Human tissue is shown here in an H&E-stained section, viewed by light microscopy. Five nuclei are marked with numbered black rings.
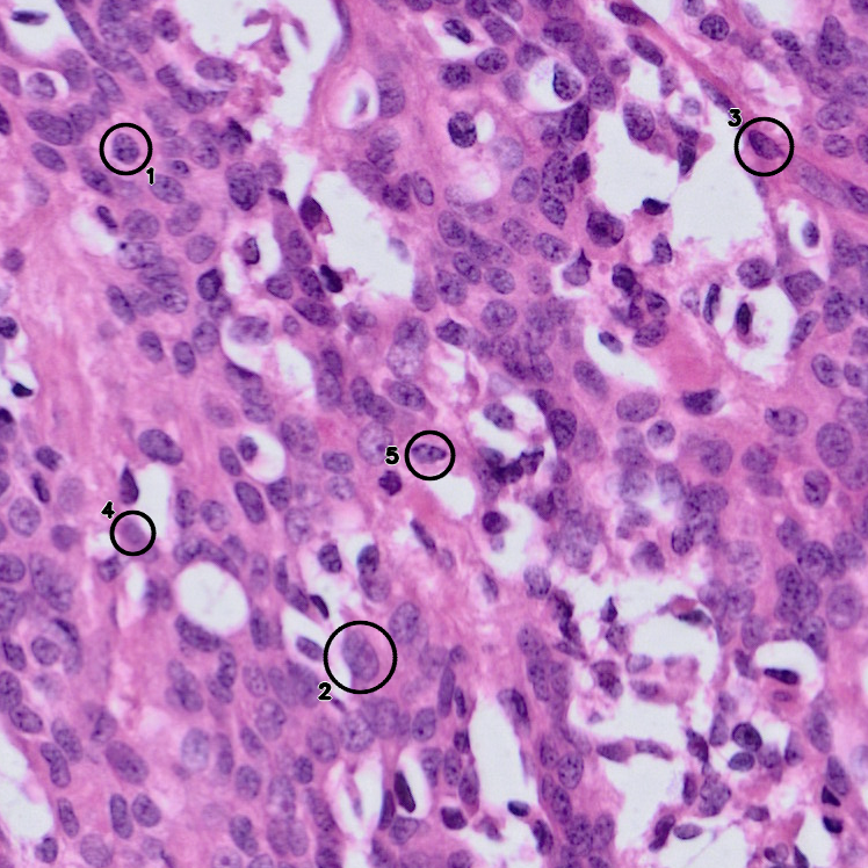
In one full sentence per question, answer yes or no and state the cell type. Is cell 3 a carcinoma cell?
No, the cell with the number 3 is an endothelial cell, not a carcinoma cell.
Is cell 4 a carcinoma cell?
Yes, the cell labelled with number 4 is a carcinoma cell.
